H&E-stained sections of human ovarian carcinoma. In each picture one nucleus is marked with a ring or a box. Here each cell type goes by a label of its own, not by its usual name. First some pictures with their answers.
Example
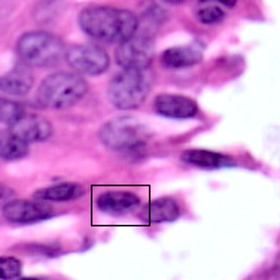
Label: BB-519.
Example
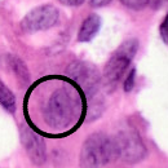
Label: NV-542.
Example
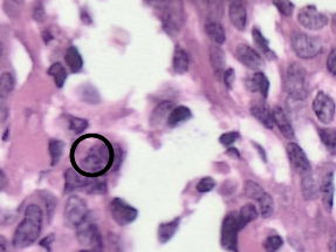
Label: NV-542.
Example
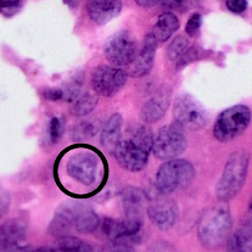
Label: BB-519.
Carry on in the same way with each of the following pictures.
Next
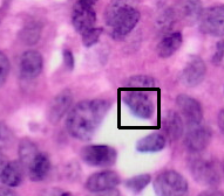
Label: NV-542.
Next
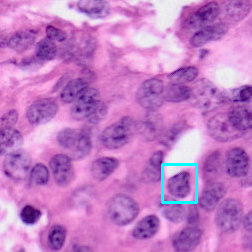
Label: BB-519.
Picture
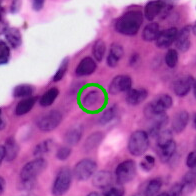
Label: NV-542.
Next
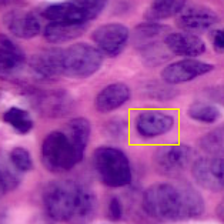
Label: BB-519.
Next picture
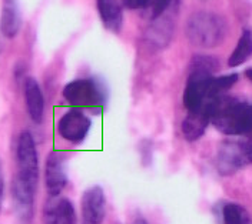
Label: NV-542.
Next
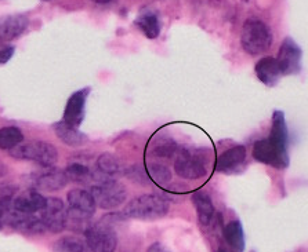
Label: NV-542.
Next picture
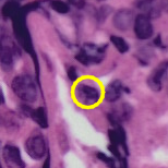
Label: BB-519.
